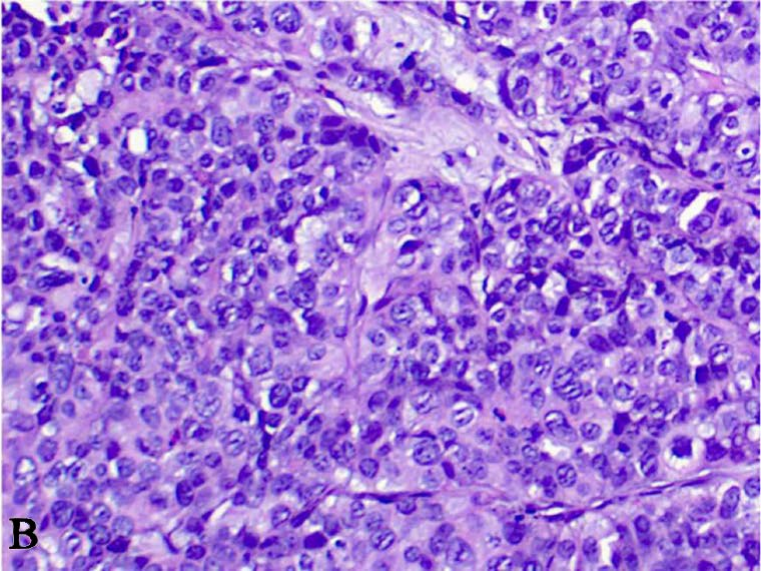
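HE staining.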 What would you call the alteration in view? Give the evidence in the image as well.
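Nuclei are large relative to the cytoplasm. Nuclei stain dark purple. Nuclear shapes and sizes vary from cell to cell. On this evidence: the nucleus was large and deeply stained, and the morphology was irregular.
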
